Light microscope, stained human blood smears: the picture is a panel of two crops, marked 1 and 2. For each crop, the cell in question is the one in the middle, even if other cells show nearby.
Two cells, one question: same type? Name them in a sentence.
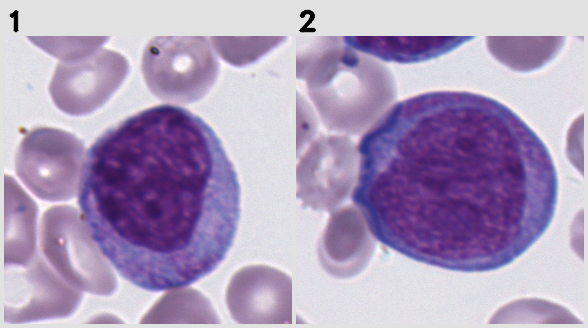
Yes, the central cells of both crops are promyelocytes.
